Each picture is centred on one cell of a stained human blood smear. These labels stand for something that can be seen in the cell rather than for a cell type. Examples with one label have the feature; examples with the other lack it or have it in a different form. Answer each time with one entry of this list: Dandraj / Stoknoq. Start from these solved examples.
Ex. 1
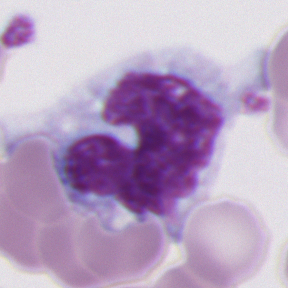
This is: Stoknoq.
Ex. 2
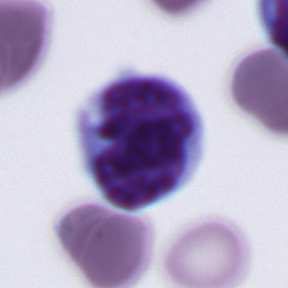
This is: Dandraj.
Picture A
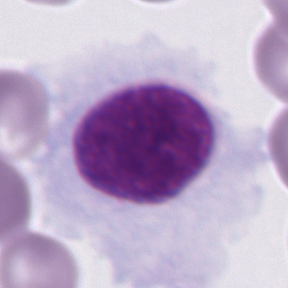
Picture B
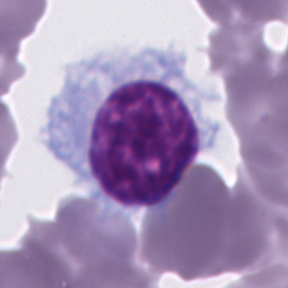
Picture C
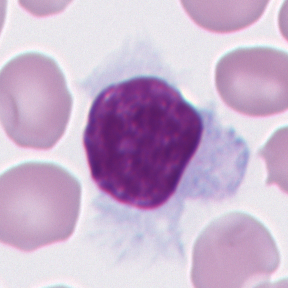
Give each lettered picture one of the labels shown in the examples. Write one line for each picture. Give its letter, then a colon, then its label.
A: Stoknoq.
B: Stoknoq.
C: Stoknoq.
